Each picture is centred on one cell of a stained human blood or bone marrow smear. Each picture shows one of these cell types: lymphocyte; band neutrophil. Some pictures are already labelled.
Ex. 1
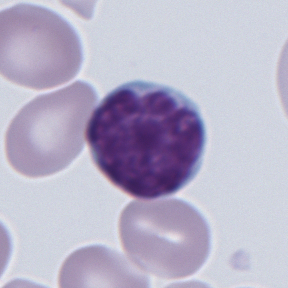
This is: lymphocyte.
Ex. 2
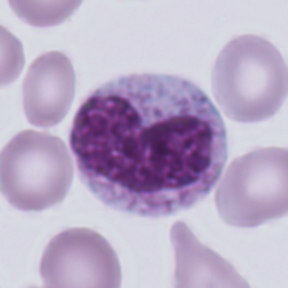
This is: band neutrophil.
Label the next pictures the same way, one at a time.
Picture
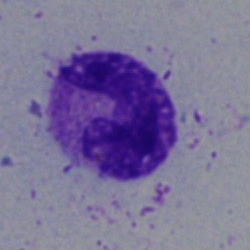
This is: band neutrophil.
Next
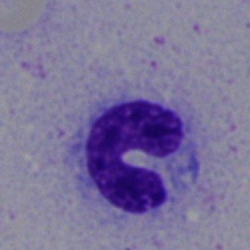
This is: band neutrophil.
